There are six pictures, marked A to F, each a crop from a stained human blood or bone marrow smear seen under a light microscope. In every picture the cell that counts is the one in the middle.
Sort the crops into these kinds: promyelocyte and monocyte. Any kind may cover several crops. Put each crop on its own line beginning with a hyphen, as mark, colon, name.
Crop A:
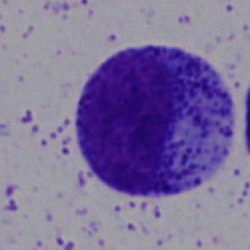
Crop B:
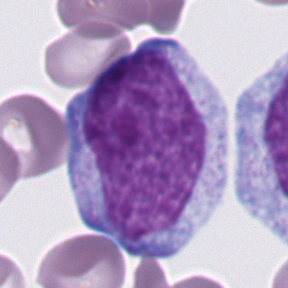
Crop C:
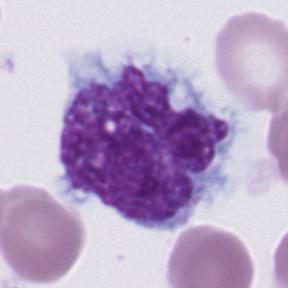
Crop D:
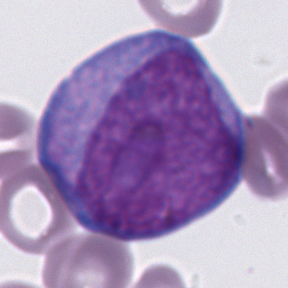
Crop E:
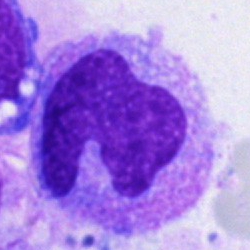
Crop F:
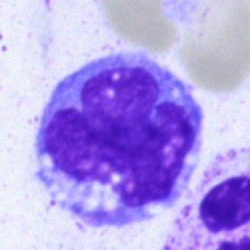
- A: promyelocyte
- B: promyelocyte
- C: monocyte
- D: promyelocyte
- E: monocyte
- F: monocyte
